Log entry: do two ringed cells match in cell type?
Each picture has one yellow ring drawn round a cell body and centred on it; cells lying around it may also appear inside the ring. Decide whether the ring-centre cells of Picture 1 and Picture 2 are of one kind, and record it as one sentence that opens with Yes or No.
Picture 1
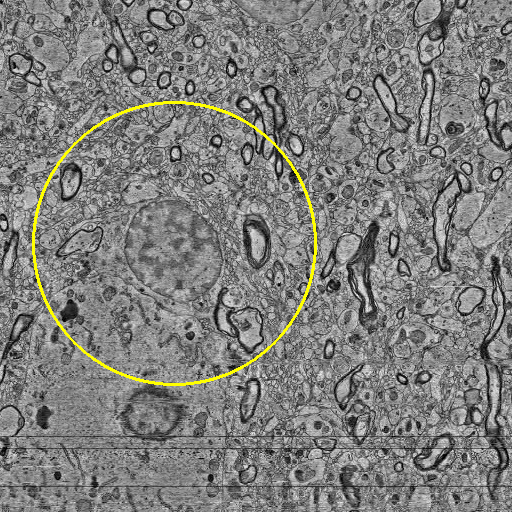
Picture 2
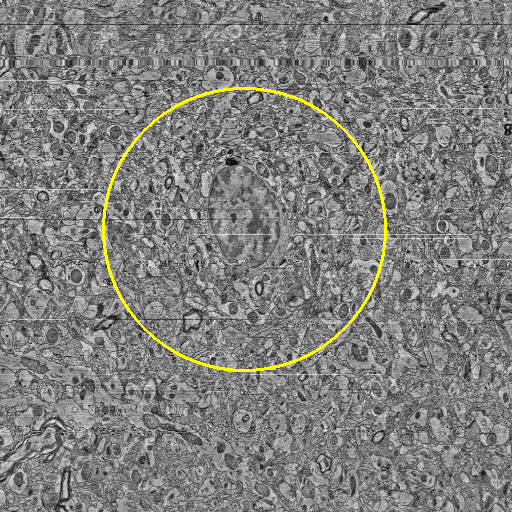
Yes, the cells at the ring centres of the two pictures belong to one kind.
